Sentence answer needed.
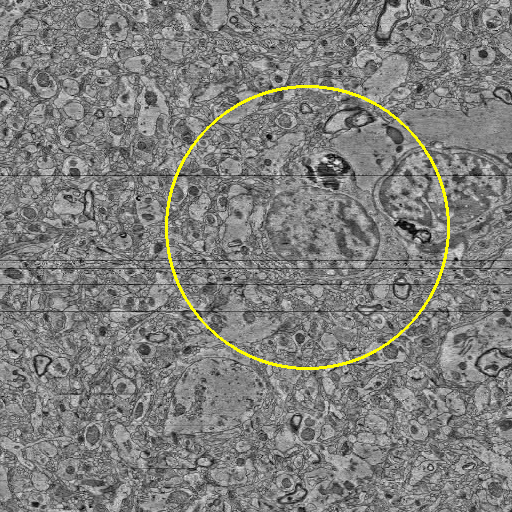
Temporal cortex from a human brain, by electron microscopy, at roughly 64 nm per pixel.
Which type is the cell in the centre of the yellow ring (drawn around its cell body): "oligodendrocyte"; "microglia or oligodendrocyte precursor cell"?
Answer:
In the centre of the yellow ring is an oligodendrocyte.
